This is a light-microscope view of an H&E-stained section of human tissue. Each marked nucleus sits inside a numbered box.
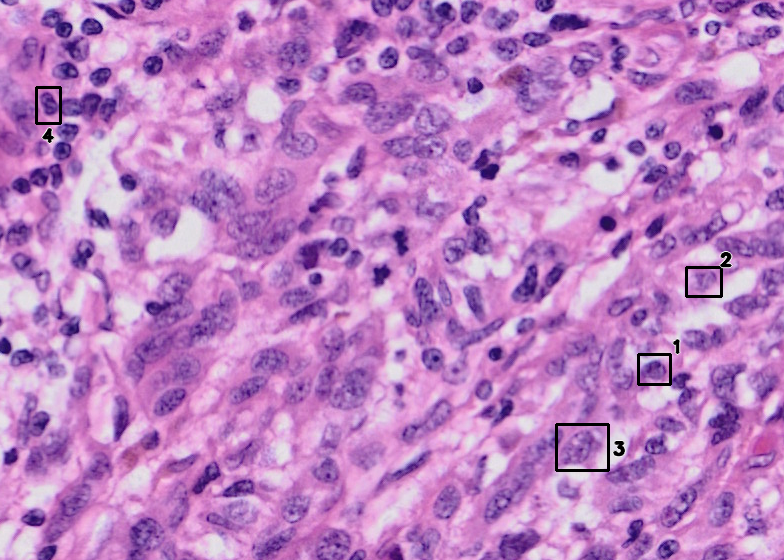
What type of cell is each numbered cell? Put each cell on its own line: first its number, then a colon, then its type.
1: melanoma cell
2: melanoma cell
3: melanoma cell
4: lymphocyte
